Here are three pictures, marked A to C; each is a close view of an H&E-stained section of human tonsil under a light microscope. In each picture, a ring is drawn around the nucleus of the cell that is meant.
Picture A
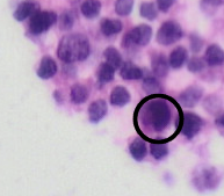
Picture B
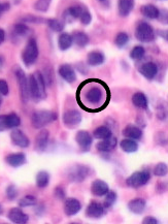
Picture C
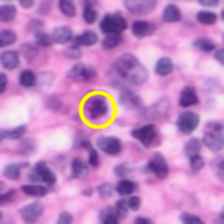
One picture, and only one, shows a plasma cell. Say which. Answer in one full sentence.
It is picture B that shows the plasma cell.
